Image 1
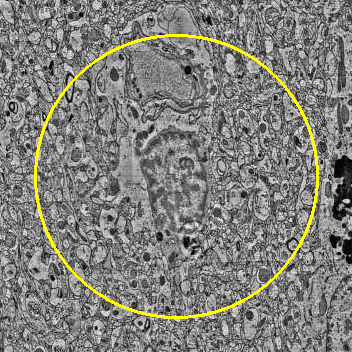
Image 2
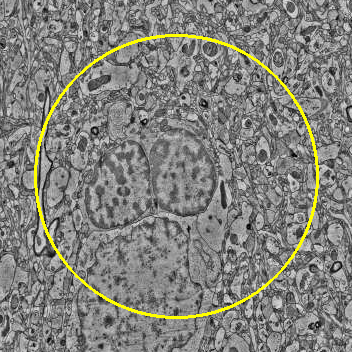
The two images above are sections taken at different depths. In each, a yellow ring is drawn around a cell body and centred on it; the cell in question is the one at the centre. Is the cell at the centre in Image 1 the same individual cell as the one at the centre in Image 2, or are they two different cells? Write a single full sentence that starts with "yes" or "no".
No, the two yellow rings each circle a different cell.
